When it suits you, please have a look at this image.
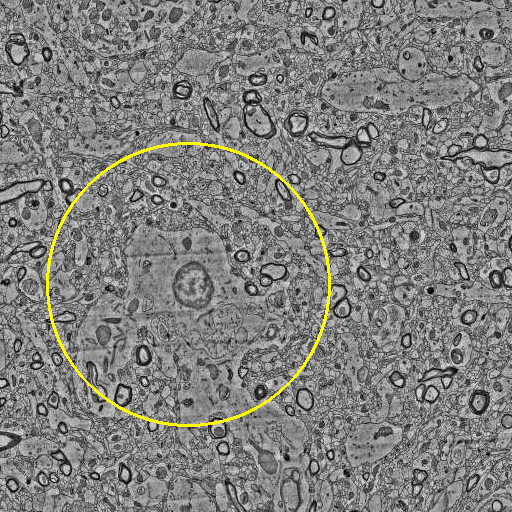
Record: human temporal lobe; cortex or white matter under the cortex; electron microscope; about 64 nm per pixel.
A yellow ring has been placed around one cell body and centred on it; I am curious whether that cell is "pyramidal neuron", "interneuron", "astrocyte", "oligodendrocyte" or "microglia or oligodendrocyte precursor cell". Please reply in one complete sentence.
The ringed cell, an astrocyte, has its body at the centre of the yellow ring.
